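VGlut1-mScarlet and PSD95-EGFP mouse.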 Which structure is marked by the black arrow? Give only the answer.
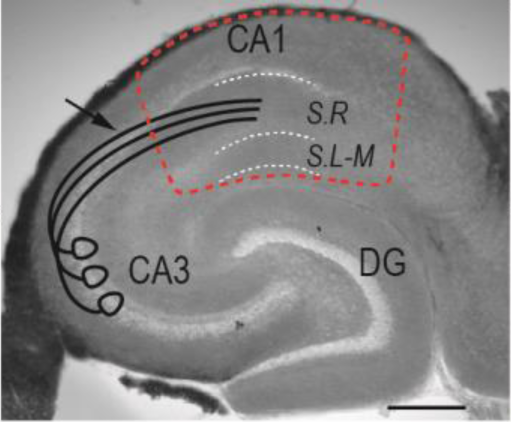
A: Schaffer collateral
